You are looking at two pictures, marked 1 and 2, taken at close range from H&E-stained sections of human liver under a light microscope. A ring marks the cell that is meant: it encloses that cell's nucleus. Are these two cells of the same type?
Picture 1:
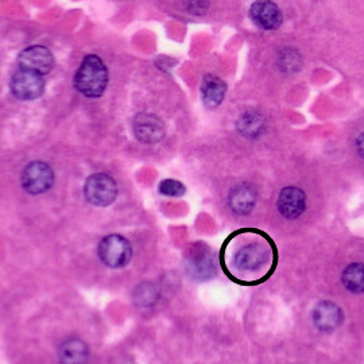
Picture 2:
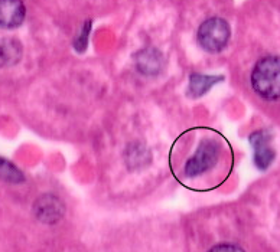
yes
